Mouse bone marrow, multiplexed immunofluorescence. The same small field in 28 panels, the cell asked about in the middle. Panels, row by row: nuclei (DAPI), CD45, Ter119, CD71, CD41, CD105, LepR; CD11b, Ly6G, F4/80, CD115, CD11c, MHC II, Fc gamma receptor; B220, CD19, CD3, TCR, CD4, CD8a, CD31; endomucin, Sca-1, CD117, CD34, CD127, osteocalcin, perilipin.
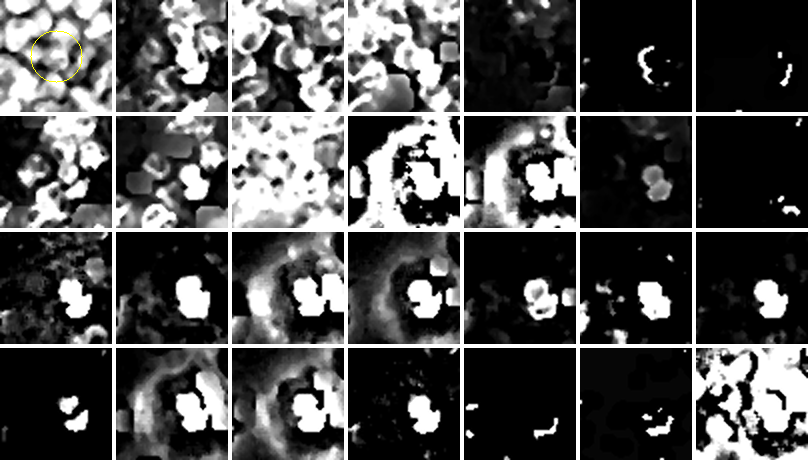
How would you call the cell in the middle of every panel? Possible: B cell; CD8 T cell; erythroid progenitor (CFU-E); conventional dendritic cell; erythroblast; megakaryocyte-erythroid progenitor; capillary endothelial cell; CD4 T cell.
I would call it a B cell.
